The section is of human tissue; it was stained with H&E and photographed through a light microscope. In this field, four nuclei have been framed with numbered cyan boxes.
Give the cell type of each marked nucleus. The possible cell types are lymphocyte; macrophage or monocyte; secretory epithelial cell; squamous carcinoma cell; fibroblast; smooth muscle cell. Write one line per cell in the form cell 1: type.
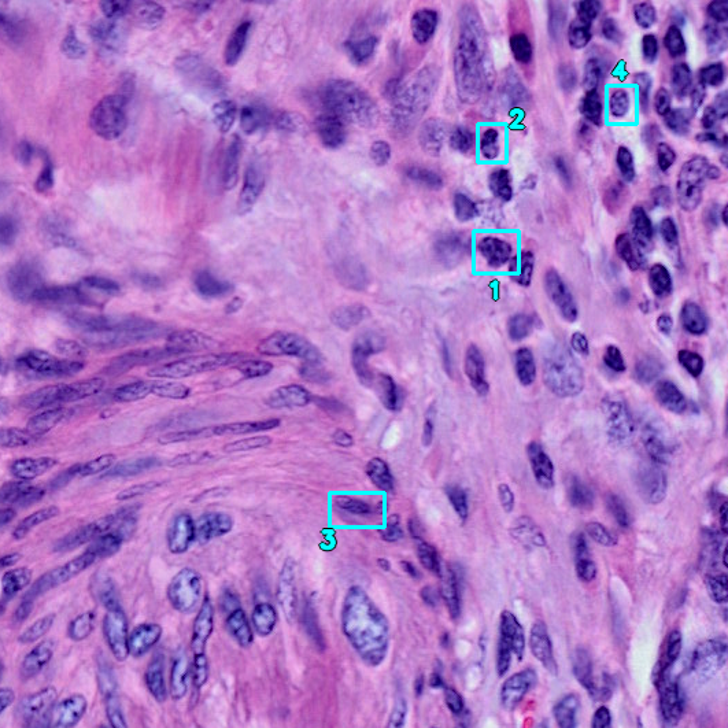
cell 1: lymphocyte
cell 2: lymphocyte
cell 3: smooth muscle cell
cell 4: lymphocyte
